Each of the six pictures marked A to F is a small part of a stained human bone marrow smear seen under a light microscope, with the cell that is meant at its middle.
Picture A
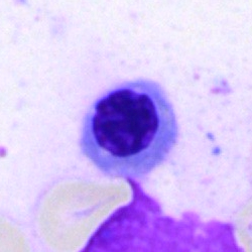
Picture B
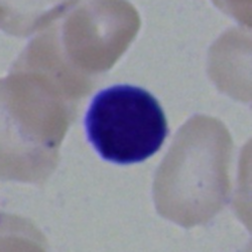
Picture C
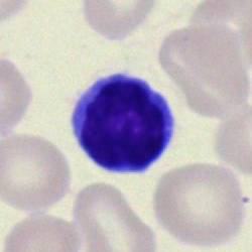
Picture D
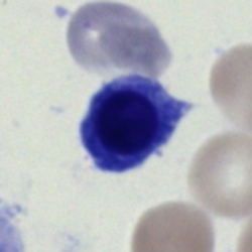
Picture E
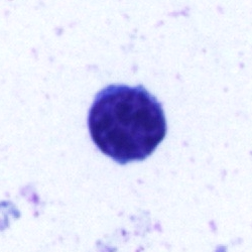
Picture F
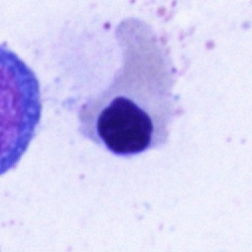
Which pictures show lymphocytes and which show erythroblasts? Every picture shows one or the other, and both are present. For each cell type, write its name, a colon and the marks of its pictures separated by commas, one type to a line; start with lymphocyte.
lymphocyte: B, C, E
erythroblast: A, D, F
